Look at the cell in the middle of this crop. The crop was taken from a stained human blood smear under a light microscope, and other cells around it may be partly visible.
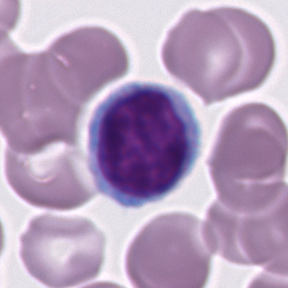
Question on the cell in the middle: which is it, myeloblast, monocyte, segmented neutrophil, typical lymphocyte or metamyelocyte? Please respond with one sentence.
The target cell in the middle of the crop is a typical lymphocyte.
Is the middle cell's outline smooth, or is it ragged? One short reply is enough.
There are no projections here; the outline is simply smooth.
